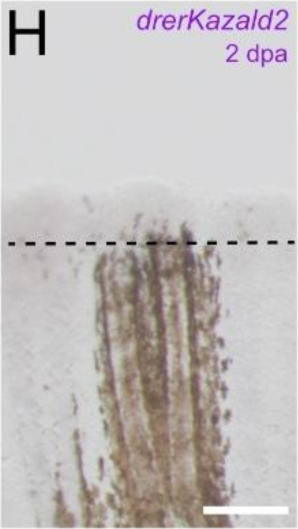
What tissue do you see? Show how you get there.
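Parallel streaks run lengthwise like fin rays. A pale rounded outgrowth extends beyond the stained region at the distal edge.
Conclusion: regenerating caudal fin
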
